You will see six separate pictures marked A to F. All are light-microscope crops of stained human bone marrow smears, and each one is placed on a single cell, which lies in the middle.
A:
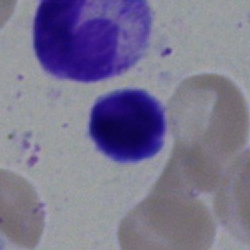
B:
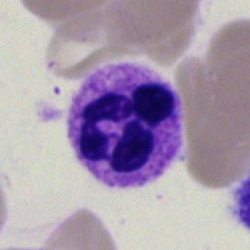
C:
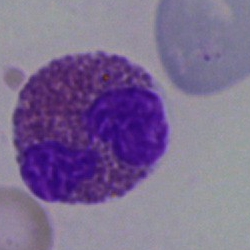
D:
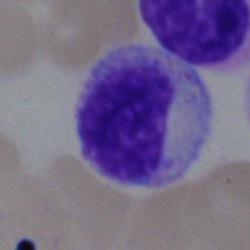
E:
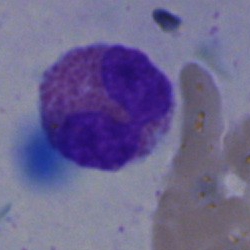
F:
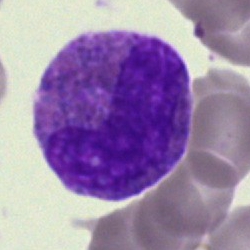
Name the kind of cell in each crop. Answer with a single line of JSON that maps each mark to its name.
{"A": "lymphocyte", "B": "segmented neutrophil", "C": "eosinophil", "D": "myelocyte", "E": "eosinophil", "F": "eosinophil"}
